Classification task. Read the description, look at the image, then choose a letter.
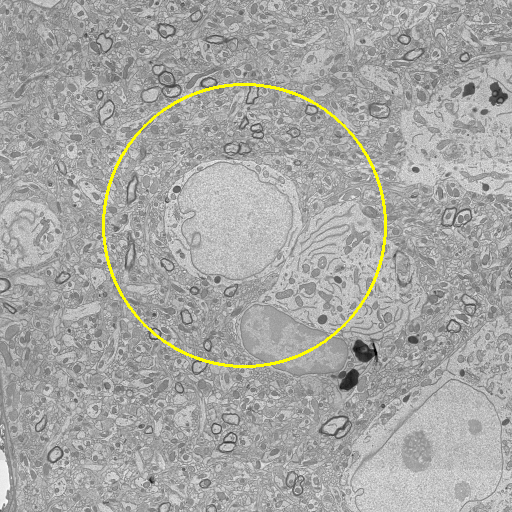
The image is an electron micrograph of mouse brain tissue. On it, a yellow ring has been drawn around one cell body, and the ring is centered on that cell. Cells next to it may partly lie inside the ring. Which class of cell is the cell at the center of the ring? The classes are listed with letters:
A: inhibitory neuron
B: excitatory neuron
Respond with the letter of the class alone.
A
